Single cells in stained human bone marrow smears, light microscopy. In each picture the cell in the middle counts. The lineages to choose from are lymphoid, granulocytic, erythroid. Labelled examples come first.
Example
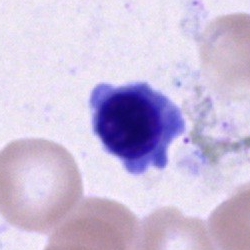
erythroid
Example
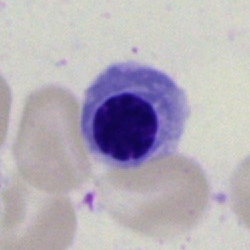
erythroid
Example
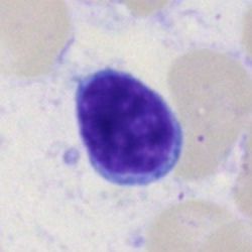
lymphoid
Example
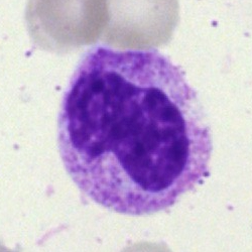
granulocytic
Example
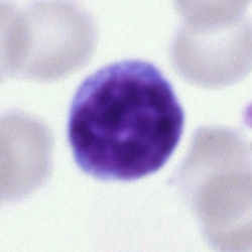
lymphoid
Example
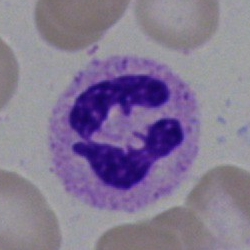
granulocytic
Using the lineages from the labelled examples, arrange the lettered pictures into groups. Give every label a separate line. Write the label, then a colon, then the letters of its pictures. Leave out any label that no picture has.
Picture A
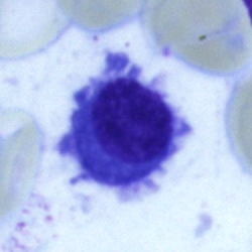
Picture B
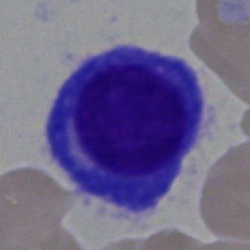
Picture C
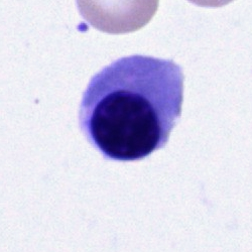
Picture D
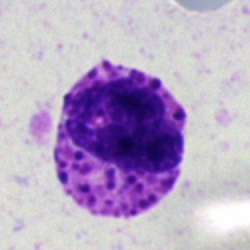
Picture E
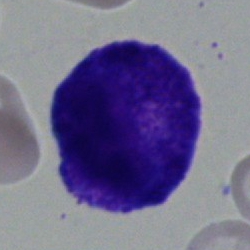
lymphoid: A, B
granulocytic: D, E
erythroid: C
